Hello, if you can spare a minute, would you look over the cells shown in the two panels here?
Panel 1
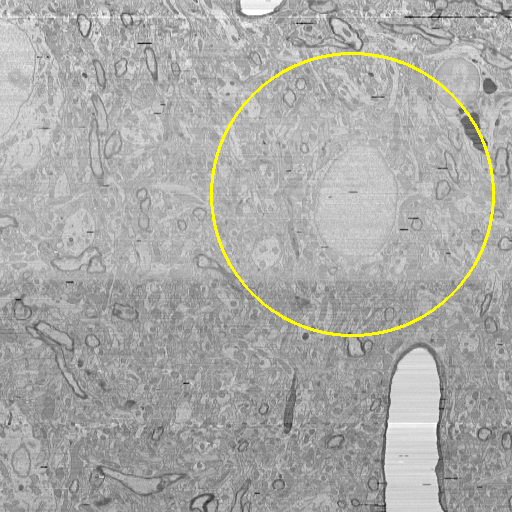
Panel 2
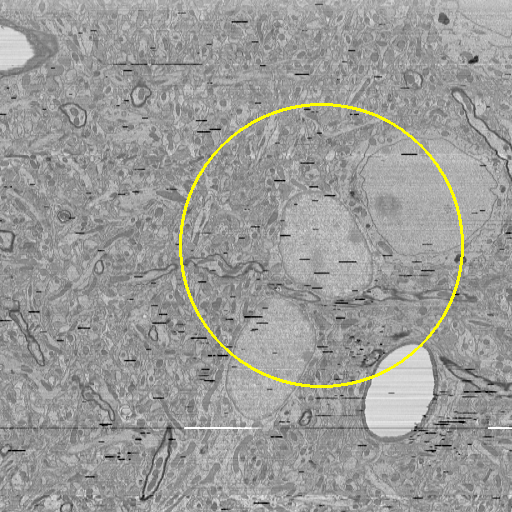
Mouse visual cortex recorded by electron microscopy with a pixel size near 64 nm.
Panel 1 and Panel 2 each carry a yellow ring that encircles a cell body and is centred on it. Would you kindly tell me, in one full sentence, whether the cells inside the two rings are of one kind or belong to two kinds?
The cells at the centres of the rings in Panel 1 and Panel 2 are of one kind.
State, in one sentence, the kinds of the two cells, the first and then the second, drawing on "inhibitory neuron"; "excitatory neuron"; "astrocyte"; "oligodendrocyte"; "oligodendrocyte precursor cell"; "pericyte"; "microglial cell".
Each cell at the centre of a ring is an astrocyte.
